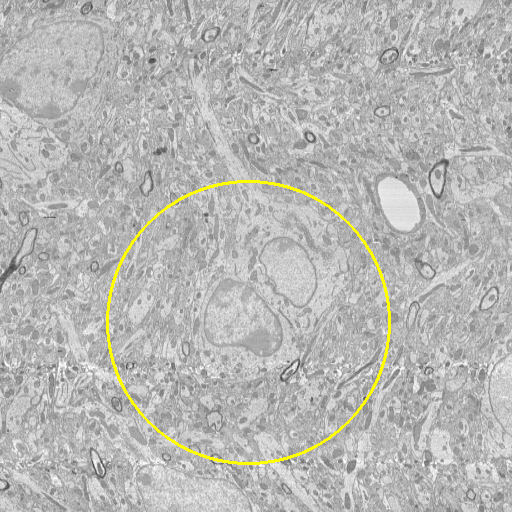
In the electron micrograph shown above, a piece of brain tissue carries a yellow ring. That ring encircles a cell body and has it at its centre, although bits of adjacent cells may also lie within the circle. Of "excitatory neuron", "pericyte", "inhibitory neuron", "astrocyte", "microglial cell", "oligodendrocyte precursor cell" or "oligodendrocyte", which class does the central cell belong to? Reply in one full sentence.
The cell body at the centre of the yellow ring belongs to an oligodendrocyte.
